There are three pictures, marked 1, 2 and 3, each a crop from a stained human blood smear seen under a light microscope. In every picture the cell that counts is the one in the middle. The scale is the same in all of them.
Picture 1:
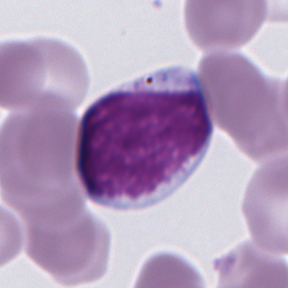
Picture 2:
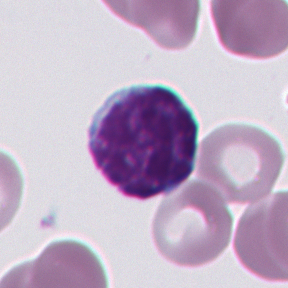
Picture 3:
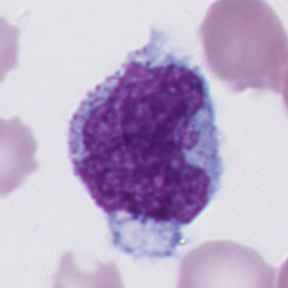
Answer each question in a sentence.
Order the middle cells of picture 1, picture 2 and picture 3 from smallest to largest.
The order is 2, 1, 3, beginning with the smallest.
